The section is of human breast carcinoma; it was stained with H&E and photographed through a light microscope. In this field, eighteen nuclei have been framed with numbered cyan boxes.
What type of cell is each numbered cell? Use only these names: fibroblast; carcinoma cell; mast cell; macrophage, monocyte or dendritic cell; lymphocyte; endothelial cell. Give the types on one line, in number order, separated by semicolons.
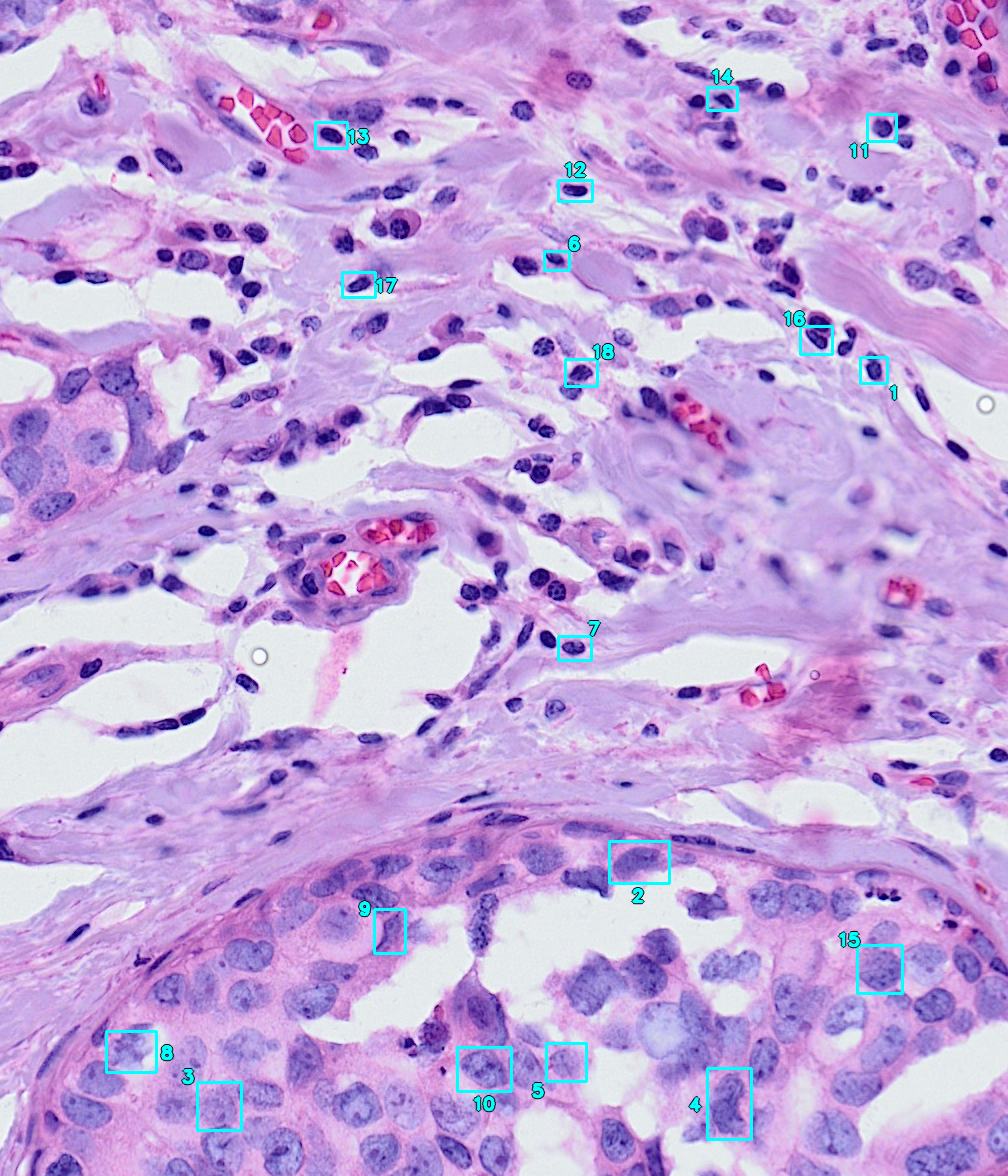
lymphocyte; carcinoma cell; carcinoma cell; carcinoma cell; carcinoma cell; lymphocyte; lymphocyte; carcinoma cell; carcinoma cell; carcinoma cell; lymphocyte; lymphocyte; lymphocyte; lymphocyte; carcinoma cell; lymphocyte; lymphocyte; lymphocyte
